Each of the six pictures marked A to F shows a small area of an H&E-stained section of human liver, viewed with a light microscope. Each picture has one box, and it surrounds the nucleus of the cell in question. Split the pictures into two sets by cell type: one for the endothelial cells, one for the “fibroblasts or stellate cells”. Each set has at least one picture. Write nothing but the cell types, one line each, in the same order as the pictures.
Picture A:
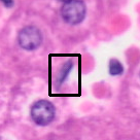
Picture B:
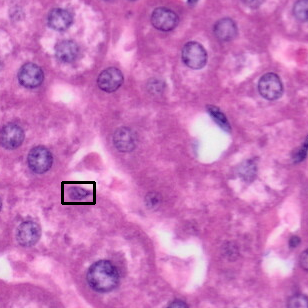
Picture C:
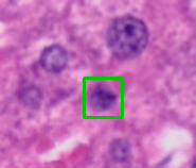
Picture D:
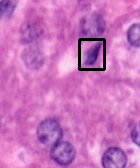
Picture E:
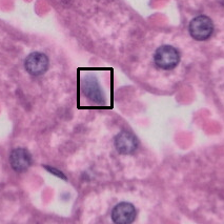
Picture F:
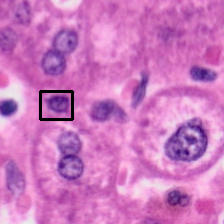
endothelial cell
fibroblast or stellate cell
endothelial cell
fibroblast or stellate cell
endothelial cell
fibroblast or stellate cell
